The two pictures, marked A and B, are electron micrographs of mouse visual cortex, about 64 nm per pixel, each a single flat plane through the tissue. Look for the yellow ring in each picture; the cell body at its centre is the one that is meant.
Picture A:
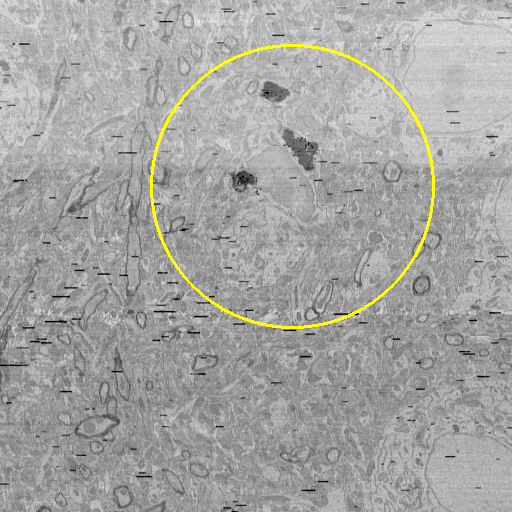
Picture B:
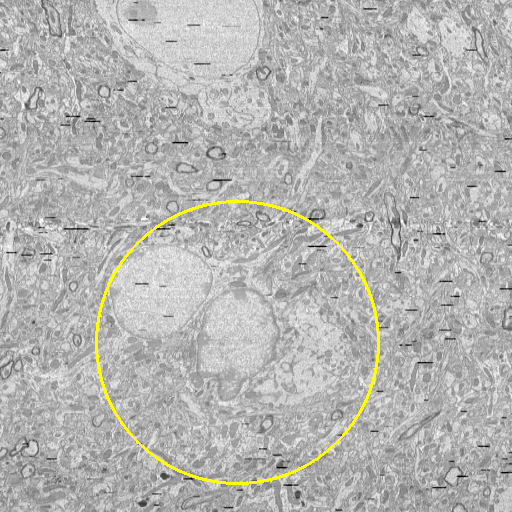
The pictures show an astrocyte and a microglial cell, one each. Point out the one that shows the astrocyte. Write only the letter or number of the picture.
B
